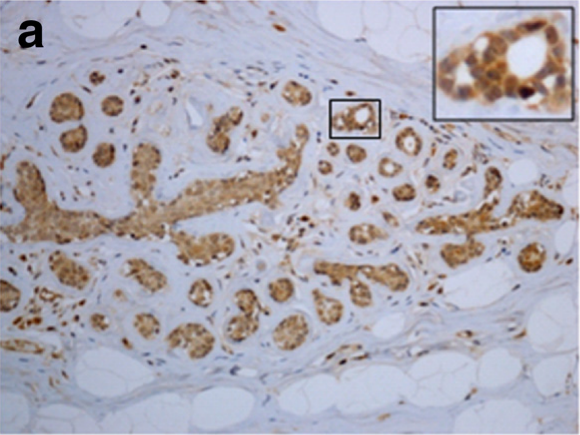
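This is normal breast tissue with a lobule of many small round acini clustered around a branching duct, all lined by epithelium that stains brown. The epithelial units sit in pale fibrous stroma, with large empty fat cells around the lobule, and scattered stromal nuclei are also brown.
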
